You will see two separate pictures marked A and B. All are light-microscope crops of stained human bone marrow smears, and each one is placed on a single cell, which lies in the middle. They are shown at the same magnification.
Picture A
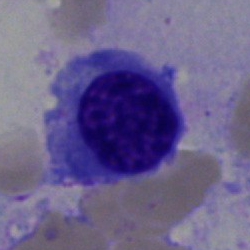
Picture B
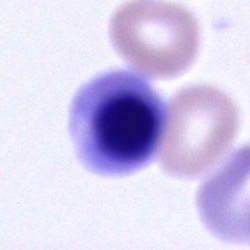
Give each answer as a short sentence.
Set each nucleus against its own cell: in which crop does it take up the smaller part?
The nucleus fills less of the cell in picture B than in picture A.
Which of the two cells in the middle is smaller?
It is the cell in picture B; the cell in picture A has about 2 times its area.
